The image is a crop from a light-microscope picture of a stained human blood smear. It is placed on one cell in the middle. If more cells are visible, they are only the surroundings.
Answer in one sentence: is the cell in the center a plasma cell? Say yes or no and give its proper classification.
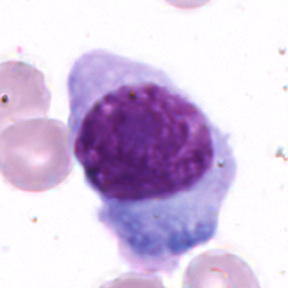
Yes, the cell found in the middle is a plasma cell.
